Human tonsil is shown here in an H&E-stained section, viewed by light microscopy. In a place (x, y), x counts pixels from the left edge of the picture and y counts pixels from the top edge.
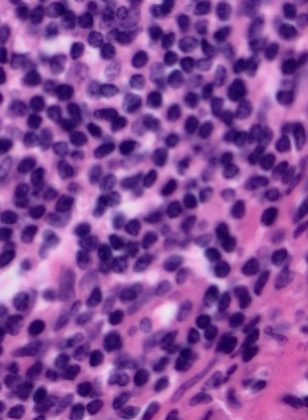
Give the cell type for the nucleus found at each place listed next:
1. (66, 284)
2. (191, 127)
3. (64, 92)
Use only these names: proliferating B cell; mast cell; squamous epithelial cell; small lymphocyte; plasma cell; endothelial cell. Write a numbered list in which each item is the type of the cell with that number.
1. endothelial cell
2. small lymphocyte
3. small lymphocyte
